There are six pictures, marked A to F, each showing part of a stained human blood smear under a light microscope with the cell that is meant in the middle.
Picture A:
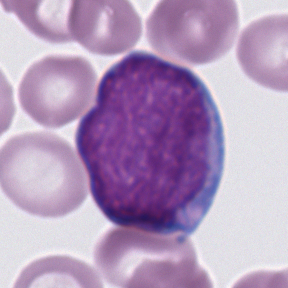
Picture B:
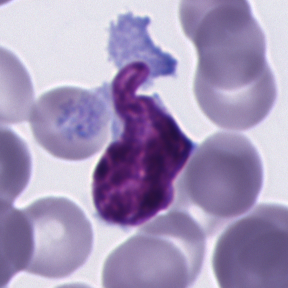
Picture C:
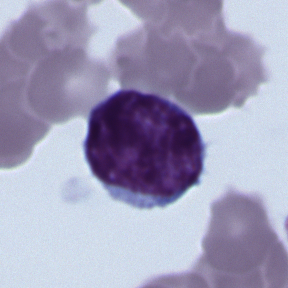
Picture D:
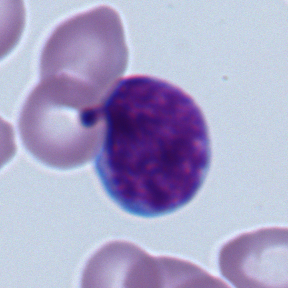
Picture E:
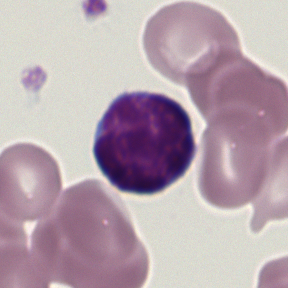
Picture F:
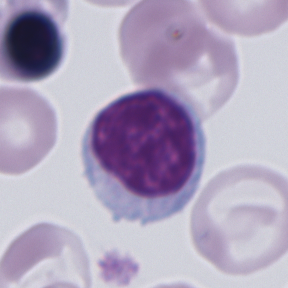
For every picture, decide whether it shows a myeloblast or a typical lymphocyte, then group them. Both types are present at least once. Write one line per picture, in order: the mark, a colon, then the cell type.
A: myeloblast
B: typical lymphocyte
C: typical lymphocyte
D: myeloblast
E: typical lymphocyte
F: typical lymphocyte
